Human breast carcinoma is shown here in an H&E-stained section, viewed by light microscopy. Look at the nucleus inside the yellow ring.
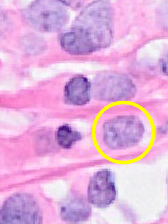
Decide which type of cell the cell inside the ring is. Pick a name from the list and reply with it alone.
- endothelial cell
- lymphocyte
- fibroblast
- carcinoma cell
carcinoma cell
